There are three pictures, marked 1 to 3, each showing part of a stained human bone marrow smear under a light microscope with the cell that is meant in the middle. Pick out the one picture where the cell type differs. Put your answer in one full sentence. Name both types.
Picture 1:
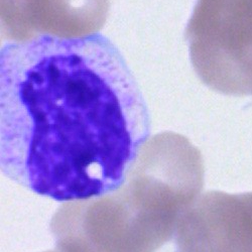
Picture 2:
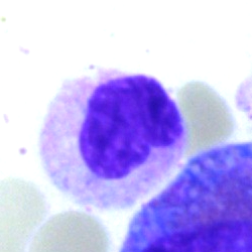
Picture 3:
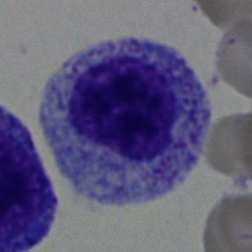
The others show metamyelocytes, but picture 3 shows a myelocyte.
